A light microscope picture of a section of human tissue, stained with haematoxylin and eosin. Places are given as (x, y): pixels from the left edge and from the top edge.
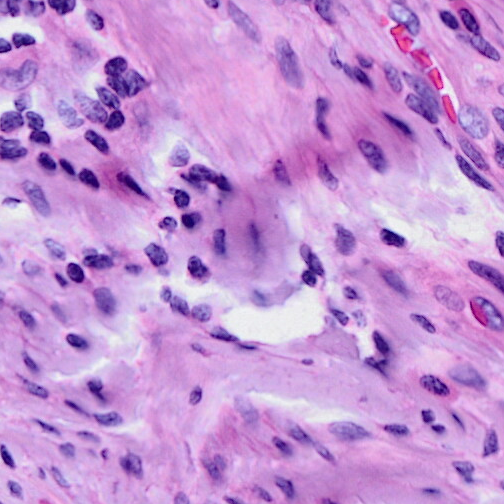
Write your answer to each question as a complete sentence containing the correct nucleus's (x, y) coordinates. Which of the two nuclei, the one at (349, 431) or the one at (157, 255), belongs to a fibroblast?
The nucleus at (349, 431) belongs to a fibroblast, which distinguishes it from the other nucleus.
